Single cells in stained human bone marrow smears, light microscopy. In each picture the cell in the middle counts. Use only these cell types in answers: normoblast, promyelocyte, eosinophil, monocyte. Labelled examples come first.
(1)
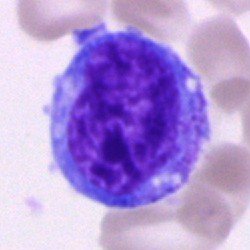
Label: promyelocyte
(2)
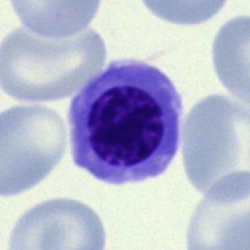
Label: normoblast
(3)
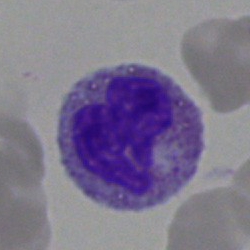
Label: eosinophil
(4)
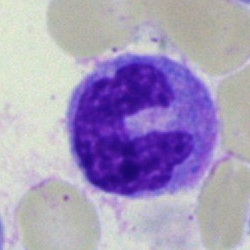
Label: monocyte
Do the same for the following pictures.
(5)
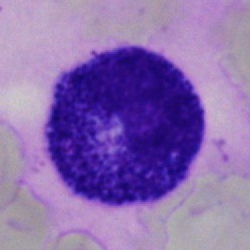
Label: promyelocyte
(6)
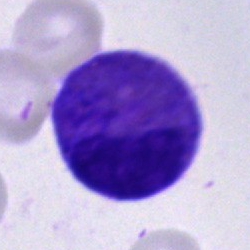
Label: eosinophil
